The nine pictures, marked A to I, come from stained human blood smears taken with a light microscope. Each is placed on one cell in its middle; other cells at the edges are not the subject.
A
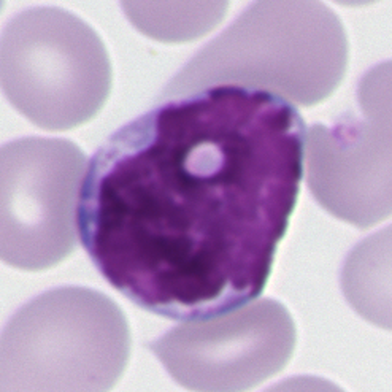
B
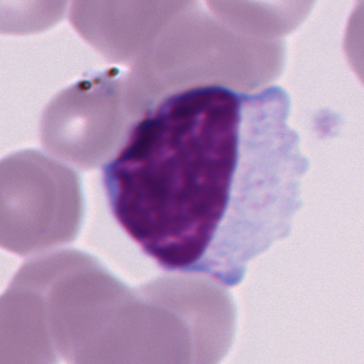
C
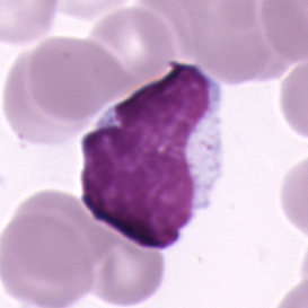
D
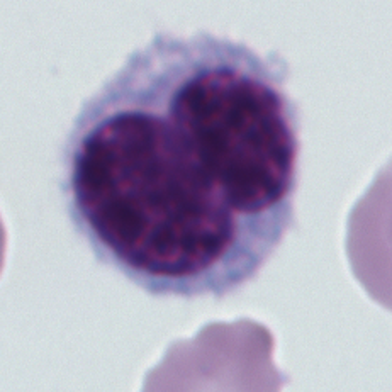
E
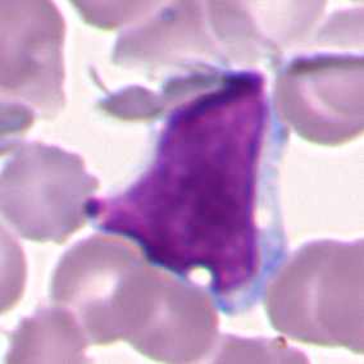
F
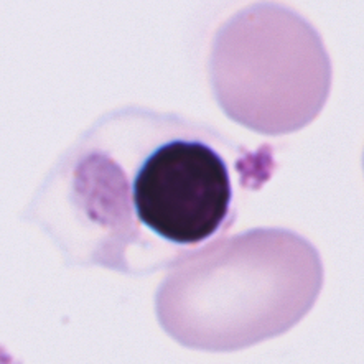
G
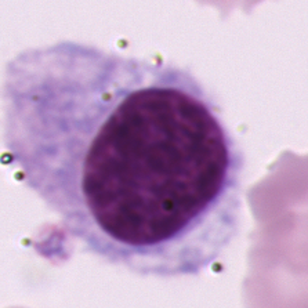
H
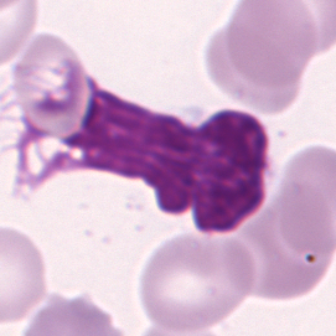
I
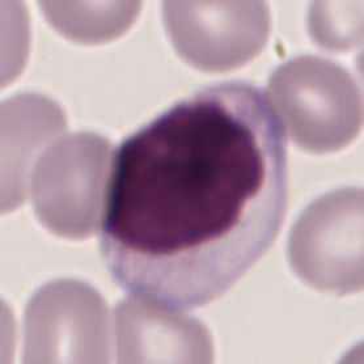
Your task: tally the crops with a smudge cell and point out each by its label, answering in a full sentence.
Of the several crops, crop H is the one with a smudge cell.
